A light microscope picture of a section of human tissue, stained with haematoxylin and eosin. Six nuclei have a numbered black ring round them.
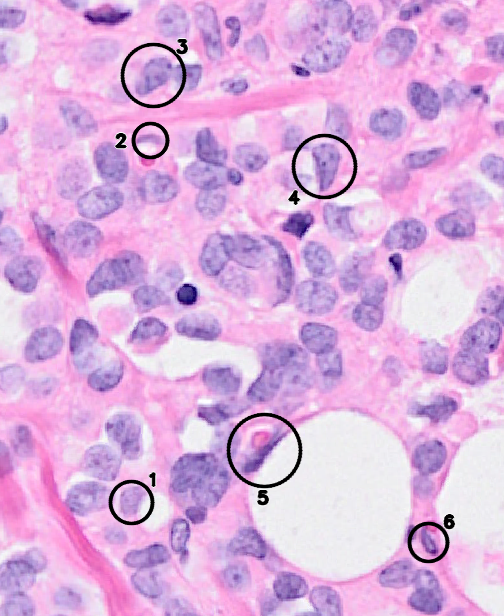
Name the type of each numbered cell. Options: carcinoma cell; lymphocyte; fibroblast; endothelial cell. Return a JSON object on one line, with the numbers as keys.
{"1": "carcinoma cell", "2": "endothelial cell", "3": "carcinoma cell", "4": "carcinoma cell", "5": "endothelial cell", "6": "endothelial cell"}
